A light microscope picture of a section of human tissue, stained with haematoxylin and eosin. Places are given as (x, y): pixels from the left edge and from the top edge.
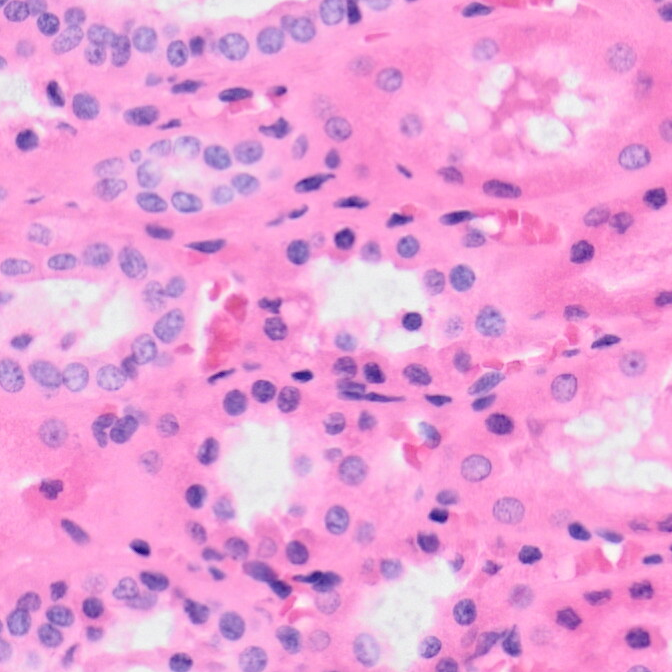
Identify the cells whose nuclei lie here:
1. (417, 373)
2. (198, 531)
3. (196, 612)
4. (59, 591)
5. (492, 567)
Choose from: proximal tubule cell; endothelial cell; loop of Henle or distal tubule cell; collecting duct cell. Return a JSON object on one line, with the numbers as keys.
{"1": "loop of Henle or distal tubule cell", "2": "loop of Henle or distal tubule cell", "3": "collecting duct cell", "4": "collecting duct cell", "5": "loop of Henle or distal tubule cell"}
